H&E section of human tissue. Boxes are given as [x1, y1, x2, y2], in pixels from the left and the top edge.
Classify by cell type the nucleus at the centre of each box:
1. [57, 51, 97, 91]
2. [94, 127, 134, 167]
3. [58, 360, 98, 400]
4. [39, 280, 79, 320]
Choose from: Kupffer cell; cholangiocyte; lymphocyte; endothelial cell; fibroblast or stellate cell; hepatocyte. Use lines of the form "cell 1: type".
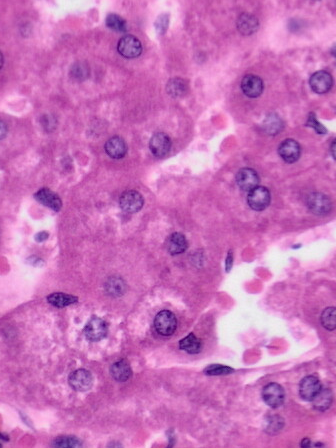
cell 1: hepatocyte
cell 2: hepatocyte
cell 3: hepatocyte
cell 4: fibroblast or stellate cell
